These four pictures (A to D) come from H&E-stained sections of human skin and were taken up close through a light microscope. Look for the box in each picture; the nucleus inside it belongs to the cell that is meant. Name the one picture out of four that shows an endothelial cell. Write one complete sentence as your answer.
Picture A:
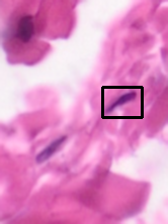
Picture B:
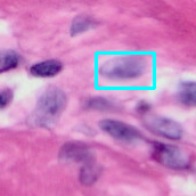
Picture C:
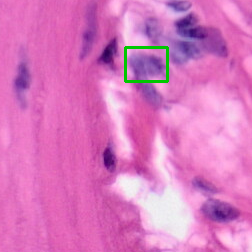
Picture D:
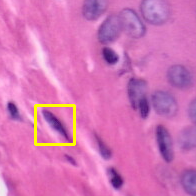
The endothelial cell is the one in picture C.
